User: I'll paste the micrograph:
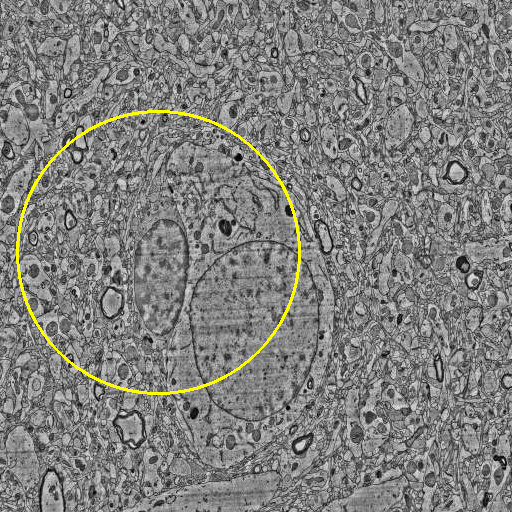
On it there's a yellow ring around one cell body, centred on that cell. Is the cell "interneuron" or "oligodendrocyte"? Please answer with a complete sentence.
The cell ringed in yellow is an oligodendrocyte.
